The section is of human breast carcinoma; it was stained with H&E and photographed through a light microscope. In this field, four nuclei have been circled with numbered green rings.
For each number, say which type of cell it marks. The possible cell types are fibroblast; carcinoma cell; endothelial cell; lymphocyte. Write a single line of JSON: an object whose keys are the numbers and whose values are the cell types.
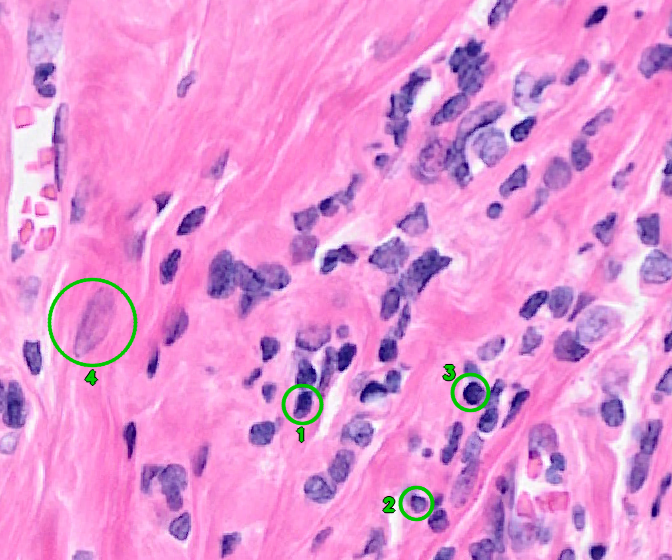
{"1": "lymphocyte", "2": "lymphocyte", "3": "lymphocyte", "4": "fibroblast"}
